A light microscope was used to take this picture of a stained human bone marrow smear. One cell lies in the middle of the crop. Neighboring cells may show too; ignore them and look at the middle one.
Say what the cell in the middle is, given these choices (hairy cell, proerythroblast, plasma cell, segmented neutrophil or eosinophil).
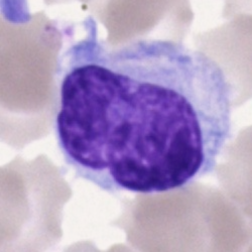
hairy cell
